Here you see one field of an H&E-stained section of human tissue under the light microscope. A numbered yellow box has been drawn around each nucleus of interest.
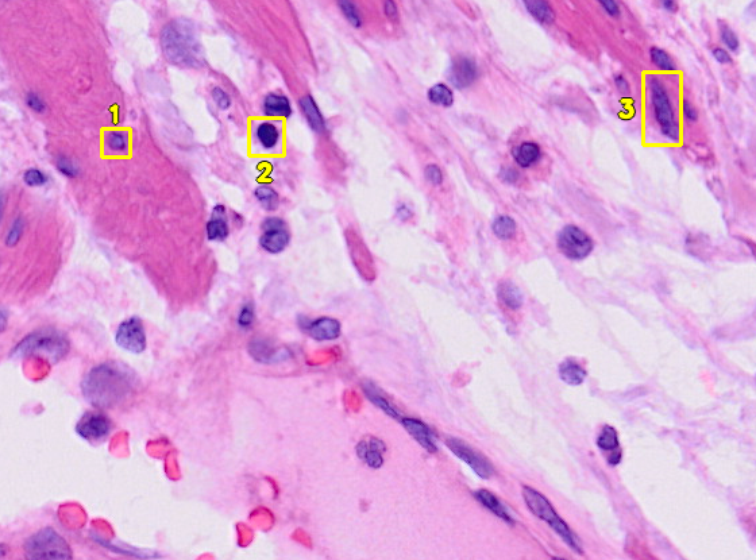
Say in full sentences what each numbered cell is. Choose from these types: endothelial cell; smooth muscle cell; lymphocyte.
Cells 1 and 3 are smooth muscle cells. Cell 2 is a lymphocyte.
